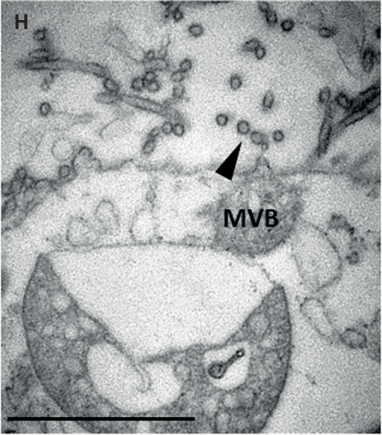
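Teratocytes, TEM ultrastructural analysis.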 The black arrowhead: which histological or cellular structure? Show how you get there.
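Exosome-like structures. The arrowhead points to small uniform round vesicles outside the cell. The vesicles lie next to a membrane-bound body opening toward the surface.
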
